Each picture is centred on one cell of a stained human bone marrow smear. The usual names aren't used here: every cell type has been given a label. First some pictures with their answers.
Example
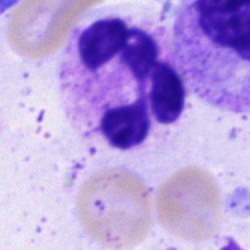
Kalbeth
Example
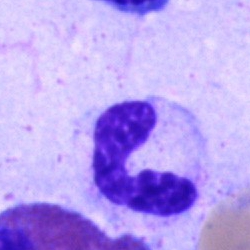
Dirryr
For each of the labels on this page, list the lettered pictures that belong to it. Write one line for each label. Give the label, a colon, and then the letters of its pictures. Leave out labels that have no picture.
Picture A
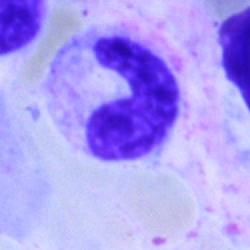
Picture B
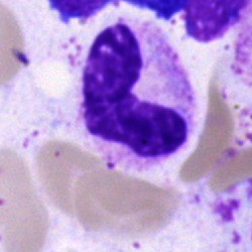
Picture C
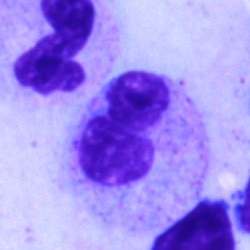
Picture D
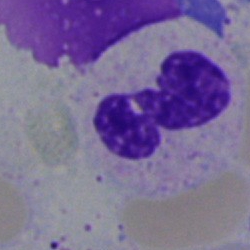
Kalbeth: D
Dirryr: A, B, C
